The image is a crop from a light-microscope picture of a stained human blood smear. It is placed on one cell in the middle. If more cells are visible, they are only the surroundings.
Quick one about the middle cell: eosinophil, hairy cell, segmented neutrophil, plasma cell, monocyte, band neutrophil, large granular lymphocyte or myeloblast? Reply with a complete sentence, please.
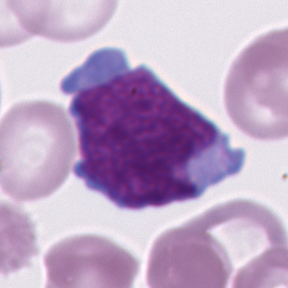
The cell sitting right in the middle is a myeloblast.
